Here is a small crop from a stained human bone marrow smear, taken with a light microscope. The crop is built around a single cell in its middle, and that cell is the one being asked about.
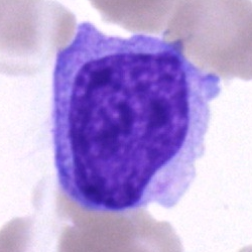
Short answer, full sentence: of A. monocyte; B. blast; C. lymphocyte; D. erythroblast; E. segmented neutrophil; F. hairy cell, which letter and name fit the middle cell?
The one cell at the centre is a blast, as correctly stated in option B.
